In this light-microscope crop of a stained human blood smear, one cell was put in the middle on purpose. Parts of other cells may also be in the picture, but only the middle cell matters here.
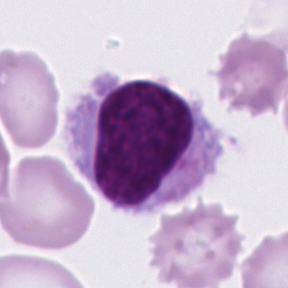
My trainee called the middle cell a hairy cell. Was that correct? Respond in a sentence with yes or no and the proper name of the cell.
Yes, the cell at the middle of the field is to be classed as a hairy cell.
